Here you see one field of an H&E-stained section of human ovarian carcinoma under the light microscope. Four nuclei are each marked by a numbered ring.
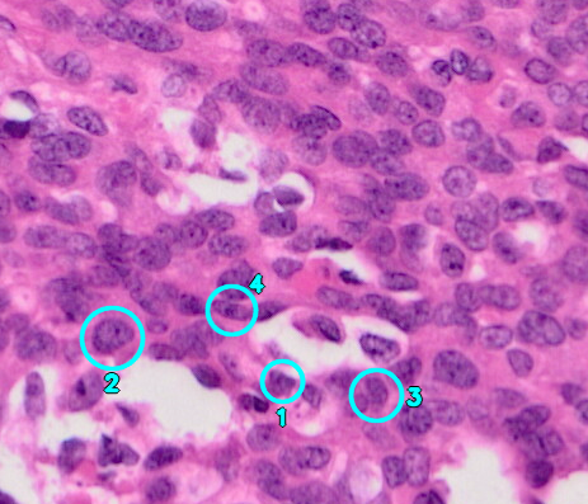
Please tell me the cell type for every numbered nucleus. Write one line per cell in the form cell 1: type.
cell 1: macrophage or monocyte
cell 2: carcinoma cell
cell 3: carcinoma cell
cell 4: carcinoma cell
